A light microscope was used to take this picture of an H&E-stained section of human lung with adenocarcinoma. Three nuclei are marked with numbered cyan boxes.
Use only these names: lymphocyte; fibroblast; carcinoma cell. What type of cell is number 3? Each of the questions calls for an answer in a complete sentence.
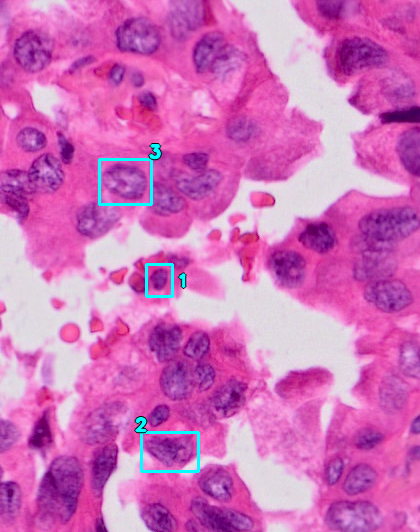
Here, the cell given the number 3 is a carcinoma cell.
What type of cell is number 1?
Classified as a lymphocyte is the cell with the number 1.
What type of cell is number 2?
Cell 2 should be recorded as a carcinoma cell.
